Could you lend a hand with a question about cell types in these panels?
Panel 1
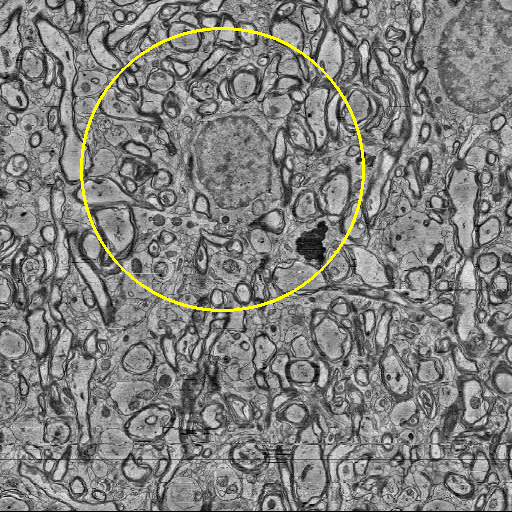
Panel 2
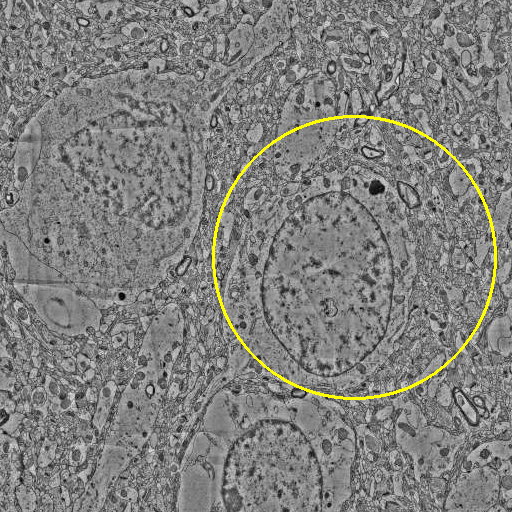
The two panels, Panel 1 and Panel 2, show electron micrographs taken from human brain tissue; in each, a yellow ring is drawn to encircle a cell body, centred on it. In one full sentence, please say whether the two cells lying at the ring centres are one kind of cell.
No, the cells at the ring centres in the two panels are two kinds of cell.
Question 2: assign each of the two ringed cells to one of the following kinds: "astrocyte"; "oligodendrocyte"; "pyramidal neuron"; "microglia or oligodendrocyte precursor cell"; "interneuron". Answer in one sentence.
The two cells are an oligodendrocyte in the first picture and a pyramidal neuron in the second.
